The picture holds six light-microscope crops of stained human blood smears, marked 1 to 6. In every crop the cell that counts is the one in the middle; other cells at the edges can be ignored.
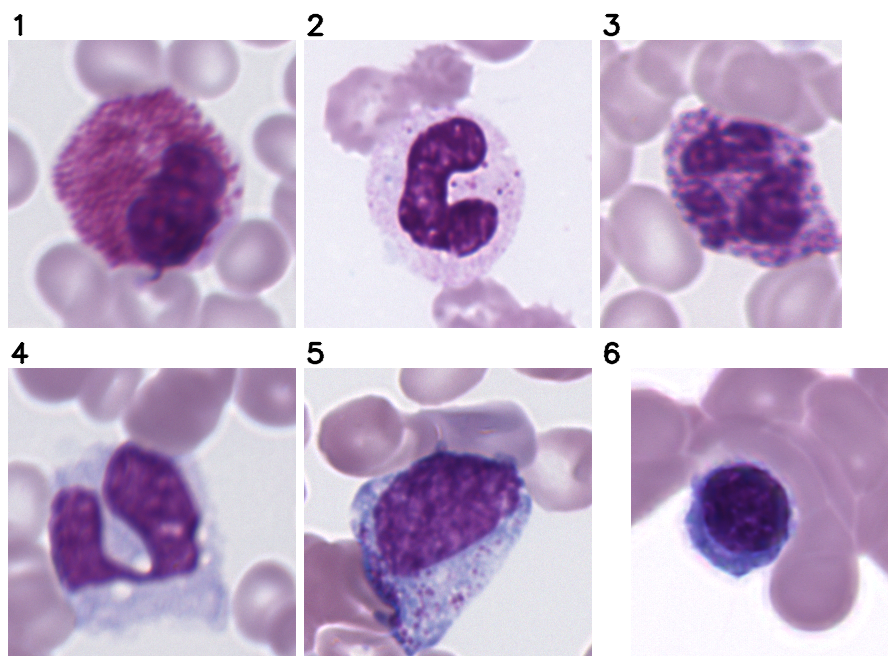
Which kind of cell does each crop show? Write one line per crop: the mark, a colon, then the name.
1: eosinophil
2: band neutrophil
3: basophil
4: monocyte
5: myelocyte
6: plasma cell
